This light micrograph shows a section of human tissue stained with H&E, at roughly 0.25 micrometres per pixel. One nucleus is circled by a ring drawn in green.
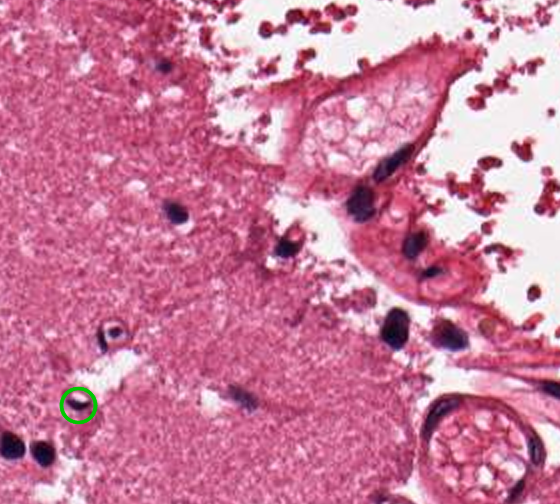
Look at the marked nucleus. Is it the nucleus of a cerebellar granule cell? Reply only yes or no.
no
